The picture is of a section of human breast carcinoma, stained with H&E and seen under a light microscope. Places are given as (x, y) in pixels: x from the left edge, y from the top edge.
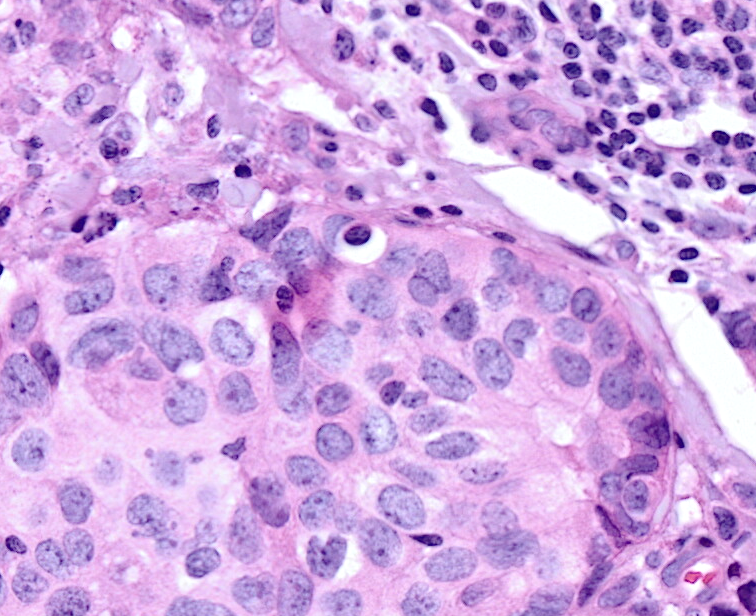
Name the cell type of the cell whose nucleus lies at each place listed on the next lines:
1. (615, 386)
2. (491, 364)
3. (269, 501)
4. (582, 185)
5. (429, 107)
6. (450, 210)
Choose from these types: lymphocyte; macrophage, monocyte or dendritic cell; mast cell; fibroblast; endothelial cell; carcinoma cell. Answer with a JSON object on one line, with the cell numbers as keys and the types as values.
{"1": "carcinoma cell", "2": "carcinoma cell", "3": "carcinoma cell", "4": "lymphocyte", "5": "lymphocyte", "6": "lymphocyte"}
